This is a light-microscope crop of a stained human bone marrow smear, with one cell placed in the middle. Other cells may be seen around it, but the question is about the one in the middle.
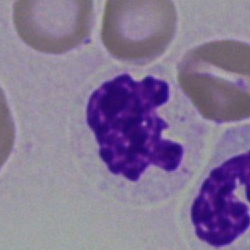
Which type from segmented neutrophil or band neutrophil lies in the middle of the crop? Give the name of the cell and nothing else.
segmented neutrophil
